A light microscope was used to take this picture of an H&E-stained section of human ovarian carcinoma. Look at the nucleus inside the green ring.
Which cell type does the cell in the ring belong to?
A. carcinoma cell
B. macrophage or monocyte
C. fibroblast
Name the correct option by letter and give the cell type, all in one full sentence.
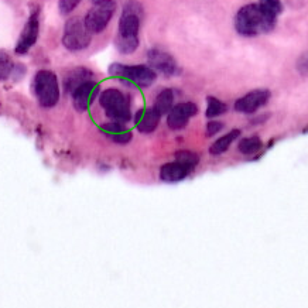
Option A properly identifies the cell in the ring as a carcinoma cell.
